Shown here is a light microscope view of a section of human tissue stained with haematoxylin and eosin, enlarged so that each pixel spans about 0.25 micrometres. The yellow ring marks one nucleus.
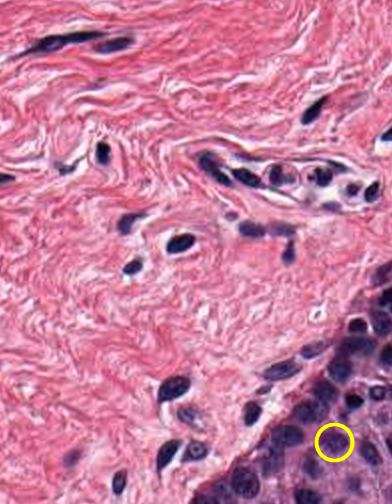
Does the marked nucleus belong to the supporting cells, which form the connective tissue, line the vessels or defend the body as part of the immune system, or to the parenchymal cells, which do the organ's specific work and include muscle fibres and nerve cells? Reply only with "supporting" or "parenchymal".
parenchymal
